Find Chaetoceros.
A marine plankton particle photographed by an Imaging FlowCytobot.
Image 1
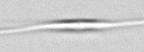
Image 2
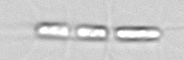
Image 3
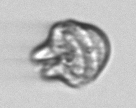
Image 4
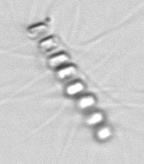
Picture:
4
